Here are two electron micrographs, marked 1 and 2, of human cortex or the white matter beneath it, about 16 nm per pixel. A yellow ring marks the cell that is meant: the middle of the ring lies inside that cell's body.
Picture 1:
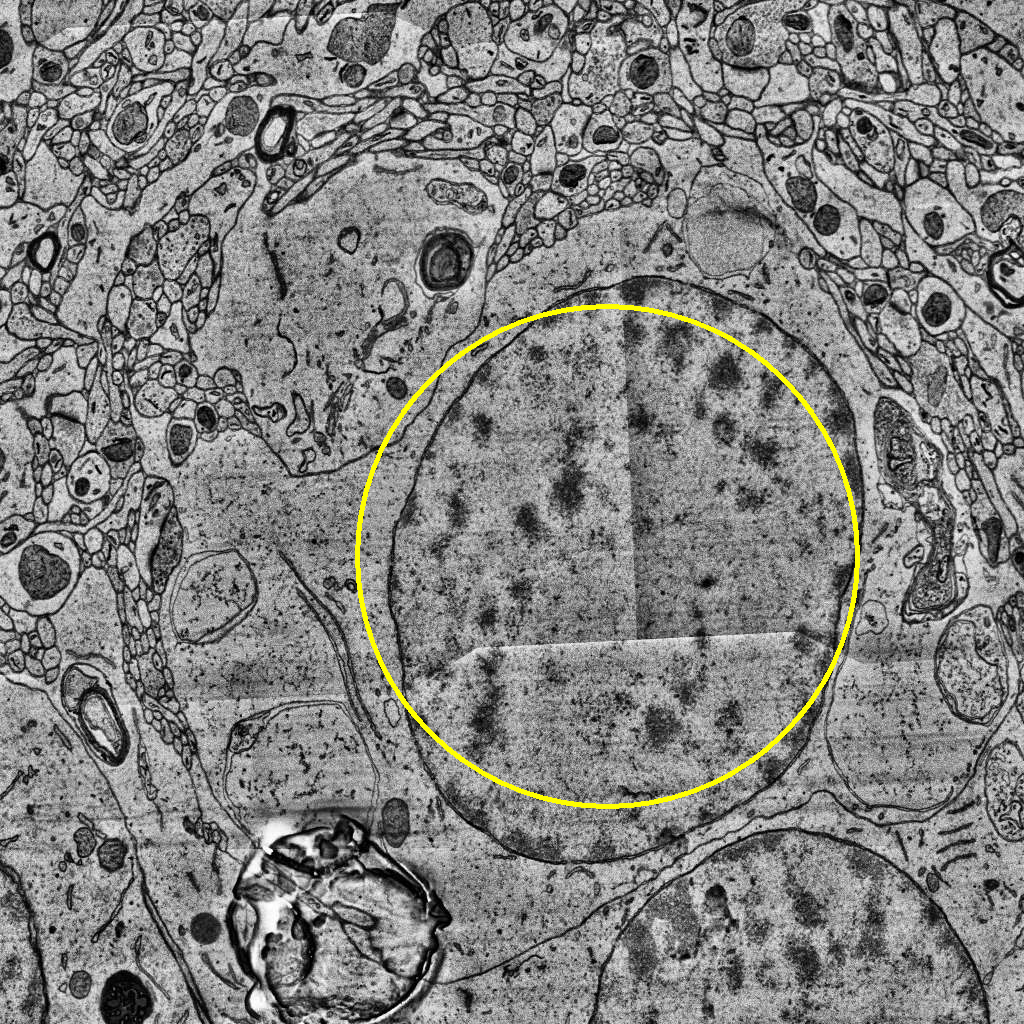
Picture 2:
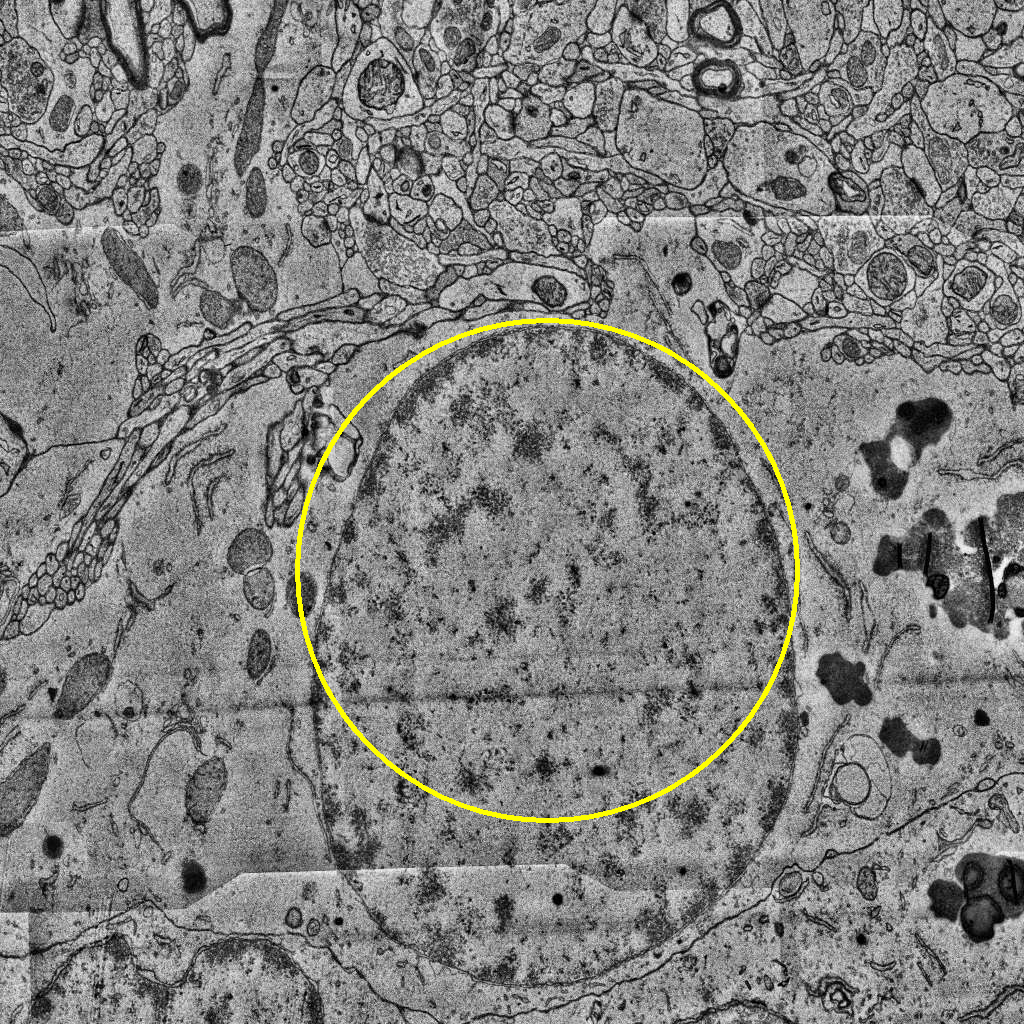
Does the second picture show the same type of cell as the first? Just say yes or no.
yes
